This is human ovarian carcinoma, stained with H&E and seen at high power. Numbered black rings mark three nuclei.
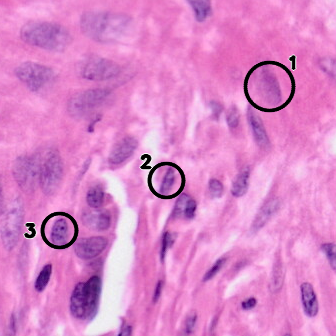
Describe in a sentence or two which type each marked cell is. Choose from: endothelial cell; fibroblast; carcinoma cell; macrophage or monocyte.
Cell 1 is a fibroblast, cell 2 is a fibroblast and cell 3 is a macrophage or monocyte.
